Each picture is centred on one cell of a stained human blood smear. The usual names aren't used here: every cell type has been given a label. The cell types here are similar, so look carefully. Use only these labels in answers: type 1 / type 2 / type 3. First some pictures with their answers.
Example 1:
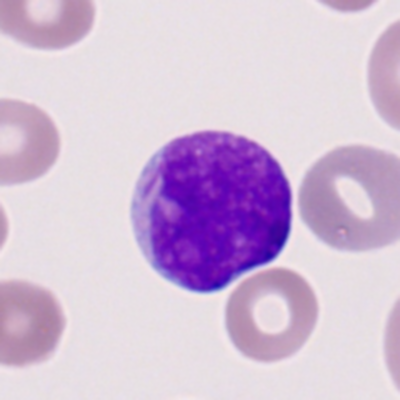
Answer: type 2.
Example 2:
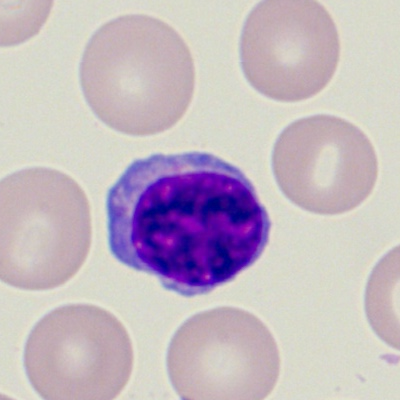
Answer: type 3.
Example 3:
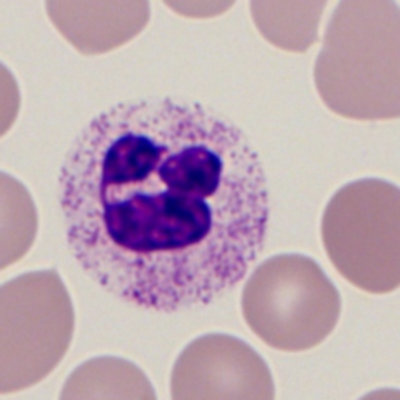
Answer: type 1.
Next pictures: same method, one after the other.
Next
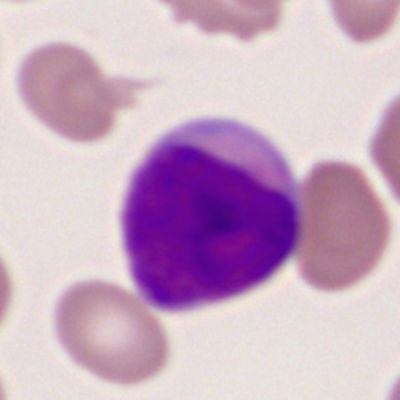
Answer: type 2.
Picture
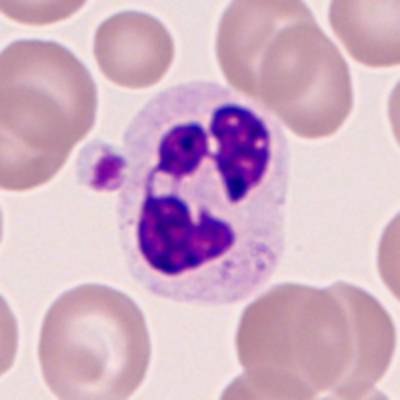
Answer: type 1.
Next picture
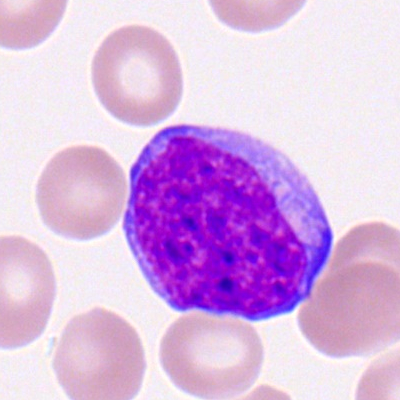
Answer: type 2.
